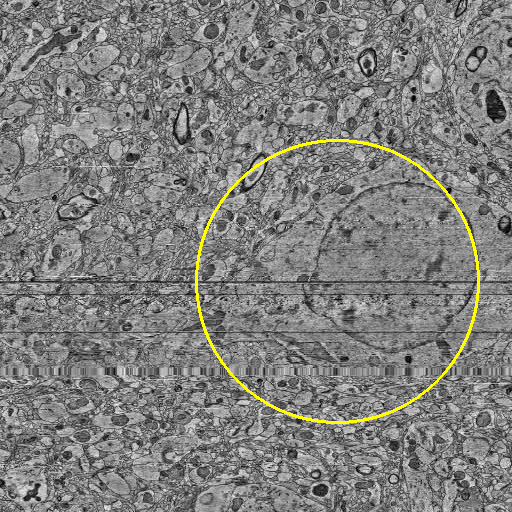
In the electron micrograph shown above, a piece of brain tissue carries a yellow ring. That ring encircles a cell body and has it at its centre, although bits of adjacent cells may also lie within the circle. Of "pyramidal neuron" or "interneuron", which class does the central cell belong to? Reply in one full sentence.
The cell body at the centre of the yellow ring belongs to a pyramidal neuron.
